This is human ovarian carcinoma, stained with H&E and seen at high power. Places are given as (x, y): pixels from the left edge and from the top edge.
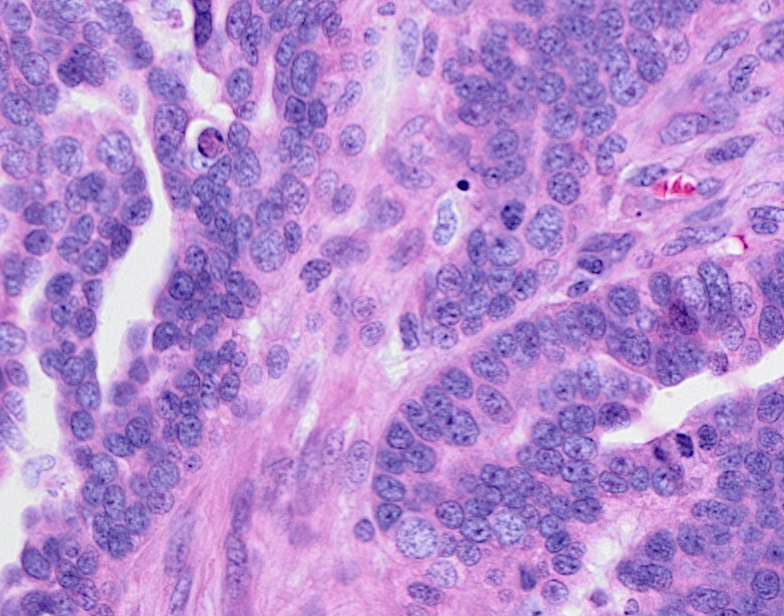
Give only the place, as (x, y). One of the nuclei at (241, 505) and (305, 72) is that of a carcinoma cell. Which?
(305, 72)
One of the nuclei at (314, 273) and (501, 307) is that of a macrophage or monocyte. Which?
(314, 273)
